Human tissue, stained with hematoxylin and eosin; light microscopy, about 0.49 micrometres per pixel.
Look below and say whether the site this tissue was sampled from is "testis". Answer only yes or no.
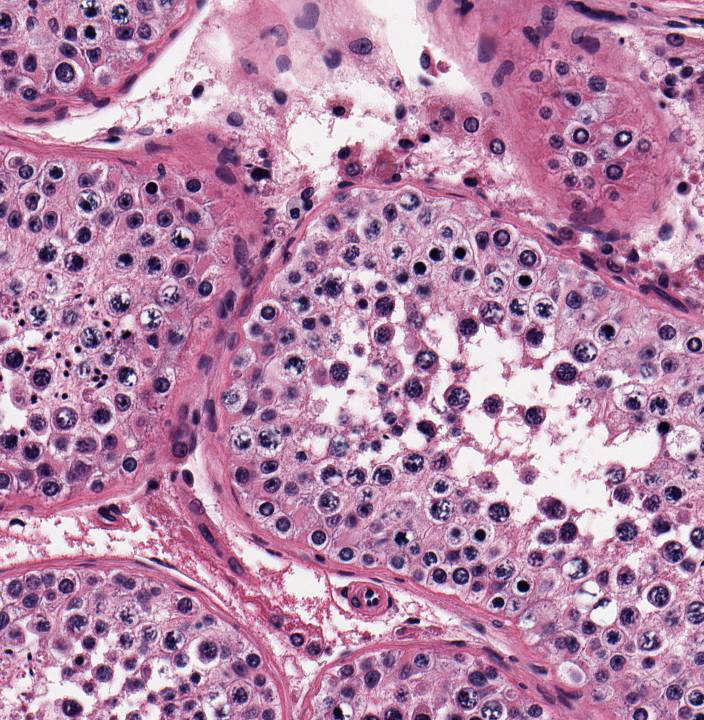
yes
